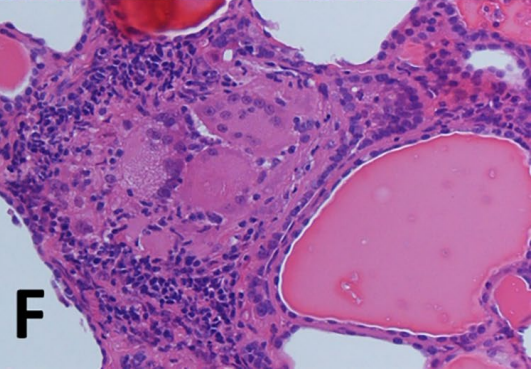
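Follicular tissue with multinucleated giant cells and chronic inflammation. Several large cells with abundant pale pink cytoplasm and clustered nuclei lie in the centre, set among a dense infiltrate of small round cells with dark compact nuclei. Around this focus are follicles lined by flattened to cuboidal cells, filled with homogeneous pink colloid; one large follicle occupies the lower right. The inflammatory cells crowd the spaces between follicles.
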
